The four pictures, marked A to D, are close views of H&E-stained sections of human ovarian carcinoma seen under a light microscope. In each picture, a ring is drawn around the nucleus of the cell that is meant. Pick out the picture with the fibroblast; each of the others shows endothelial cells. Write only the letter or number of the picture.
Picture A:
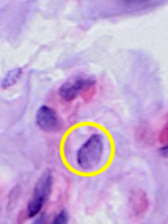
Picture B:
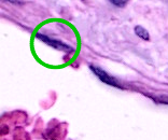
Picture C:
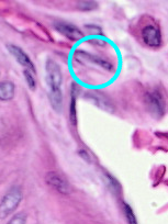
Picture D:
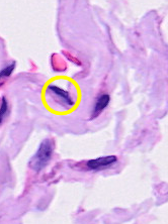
A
